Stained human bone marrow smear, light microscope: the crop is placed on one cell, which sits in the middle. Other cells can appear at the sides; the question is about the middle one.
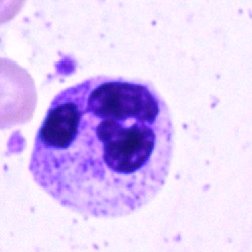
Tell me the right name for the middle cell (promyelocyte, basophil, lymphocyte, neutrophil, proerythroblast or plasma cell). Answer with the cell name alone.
neutrophil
